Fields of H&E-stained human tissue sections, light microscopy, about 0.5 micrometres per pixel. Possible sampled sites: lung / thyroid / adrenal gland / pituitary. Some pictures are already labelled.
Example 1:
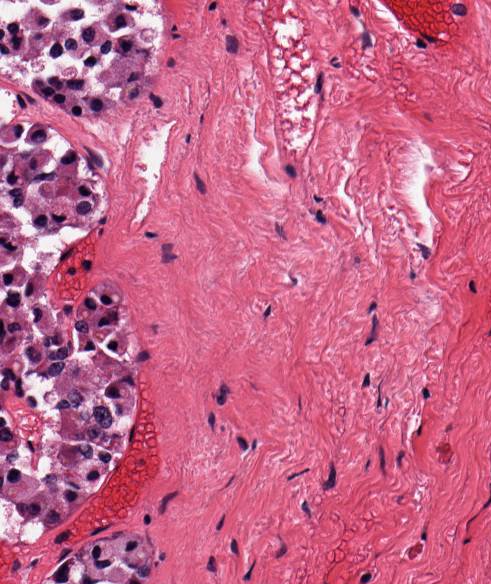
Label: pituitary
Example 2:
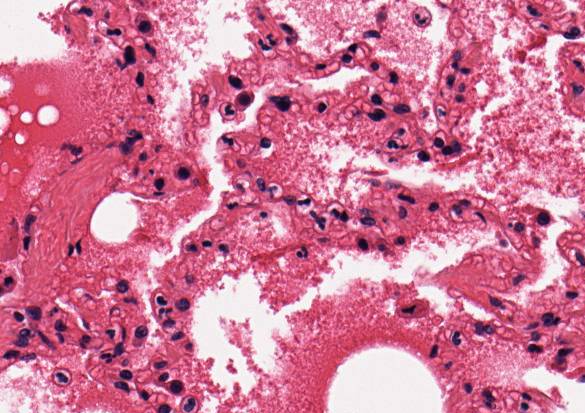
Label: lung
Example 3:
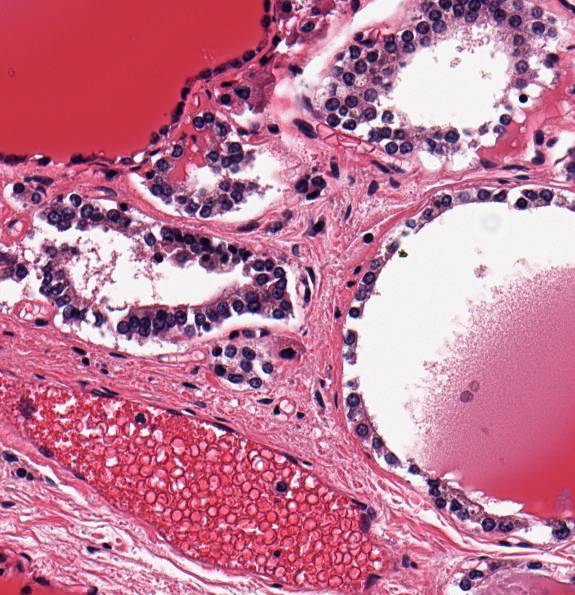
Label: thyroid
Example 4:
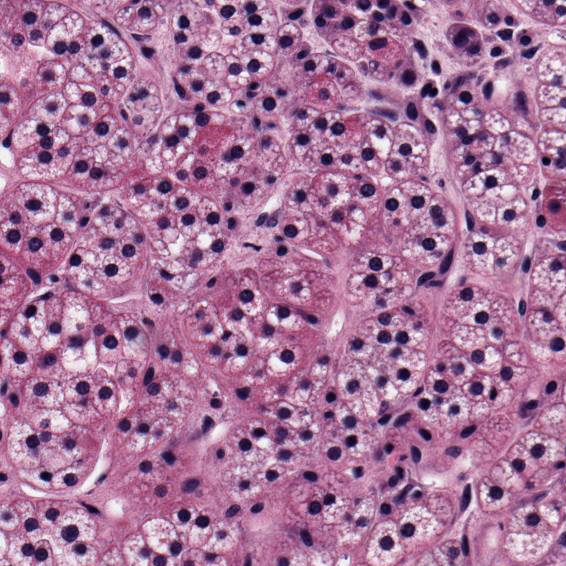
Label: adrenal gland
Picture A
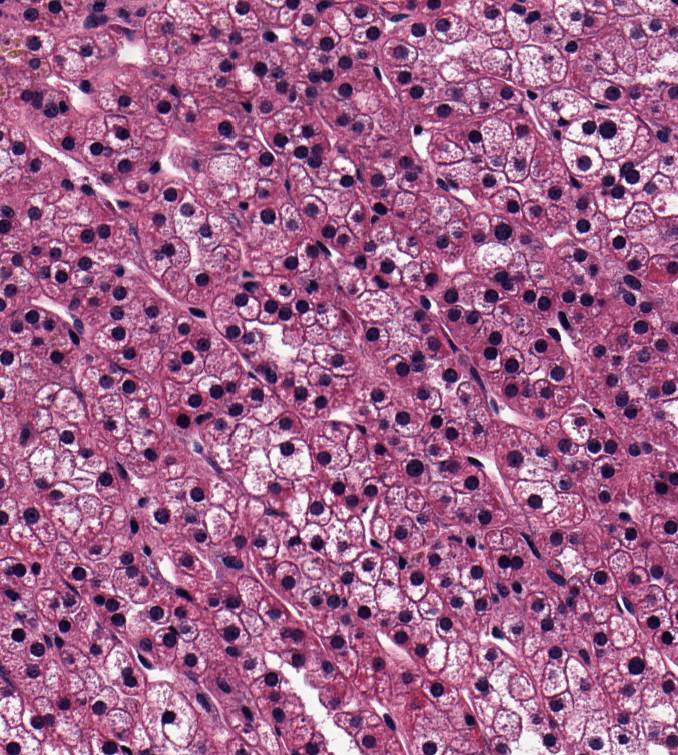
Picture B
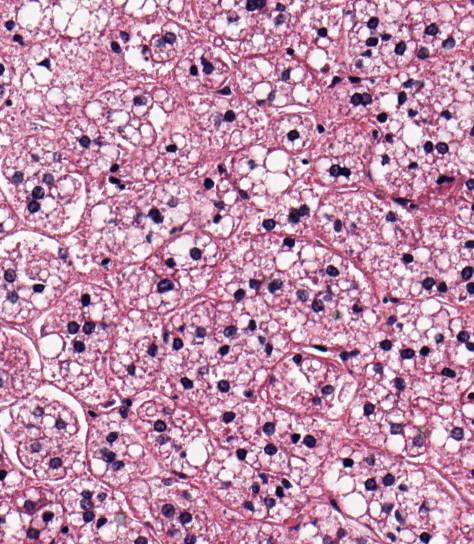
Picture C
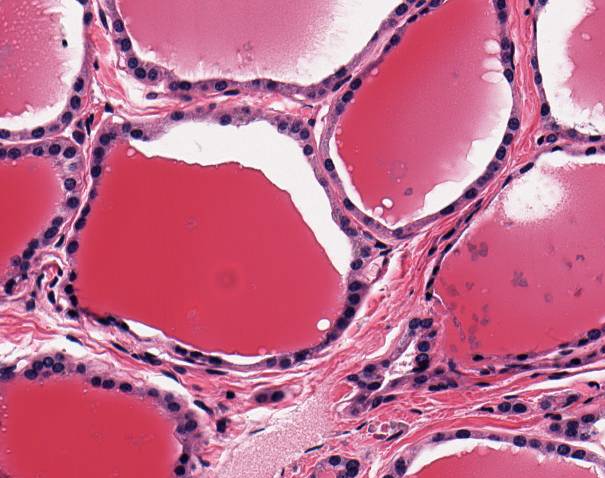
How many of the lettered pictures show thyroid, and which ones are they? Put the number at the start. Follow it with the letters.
Count: 1 (C)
